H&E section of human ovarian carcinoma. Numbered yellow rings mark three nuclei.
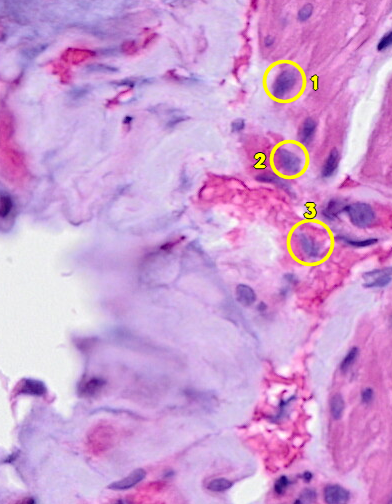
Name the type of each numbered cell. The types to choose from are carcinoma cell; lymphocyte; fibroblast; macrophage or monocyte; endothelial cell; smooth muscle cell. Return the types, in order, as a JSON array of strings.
["smooth muscle cell", "endothelial cell", "endothelial cell"]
